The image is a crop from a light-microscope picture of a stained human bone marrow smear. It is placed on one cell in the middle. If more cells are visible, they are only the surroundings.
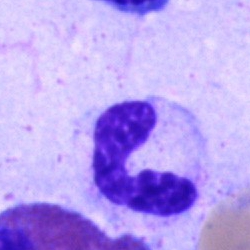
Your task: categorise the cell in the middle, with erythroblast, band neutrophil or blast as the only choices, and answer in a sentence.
Framed in the middle of the crop is a band neutrophil.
